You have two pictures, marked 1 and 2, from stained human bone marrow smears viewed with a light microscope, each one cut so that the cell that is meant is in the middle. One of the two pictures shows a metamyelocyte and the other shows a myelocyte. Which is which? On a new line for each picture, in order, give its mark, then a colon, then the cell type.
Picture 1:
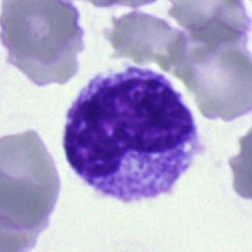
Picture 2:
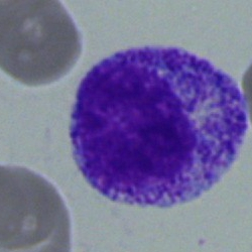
1: metamyelocyte
2: myelocyte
